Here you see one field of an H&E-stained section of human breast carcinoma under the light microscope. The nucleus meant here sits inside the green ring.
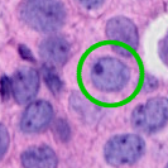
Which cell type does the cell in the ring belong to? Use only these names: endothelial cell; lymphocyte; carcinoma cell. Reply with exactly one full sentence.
In cellular terms, the cell in the ring is a carcinoma cell.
